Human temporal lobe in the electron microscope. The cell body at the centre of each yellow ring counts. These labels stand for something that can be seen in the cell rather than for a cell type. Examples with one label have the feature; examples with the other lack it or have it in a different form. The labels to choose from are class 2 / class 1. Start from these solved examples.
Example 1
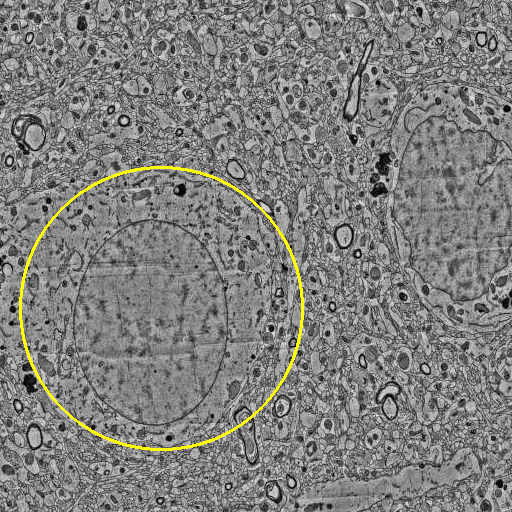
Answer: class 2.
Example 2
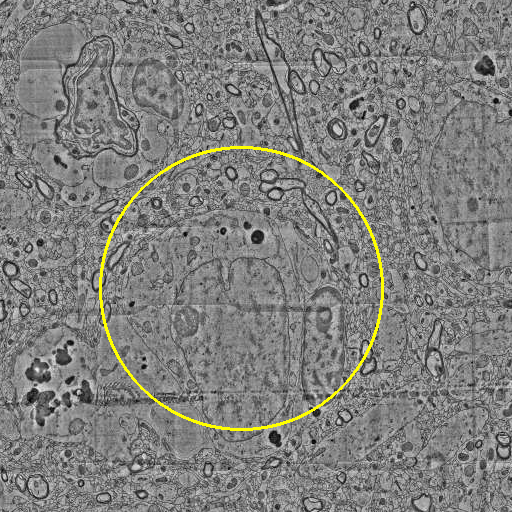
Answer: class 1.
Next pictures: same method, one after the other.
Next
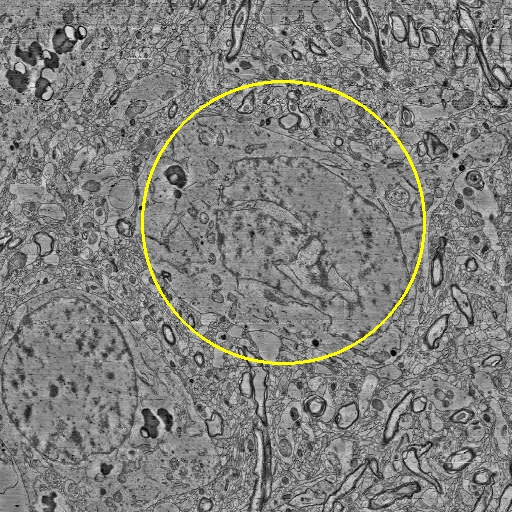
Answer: class 2.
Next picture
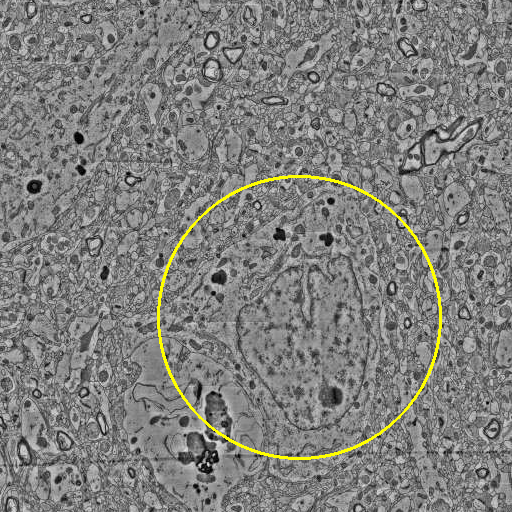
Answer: class 1.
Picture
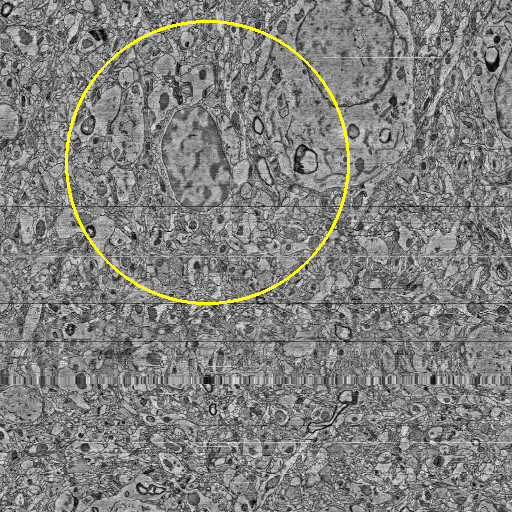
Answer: class 2.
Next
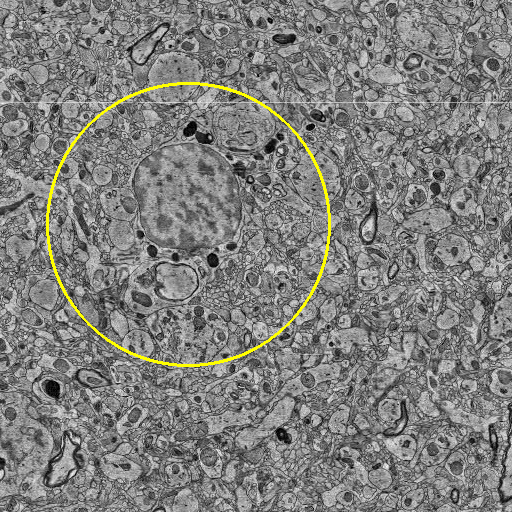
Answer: class 2.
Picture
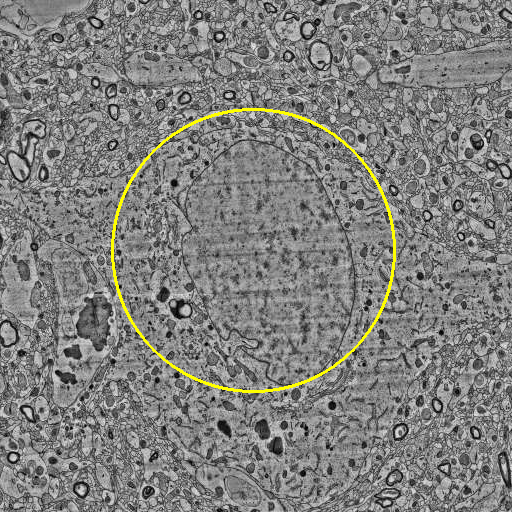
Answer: class 2.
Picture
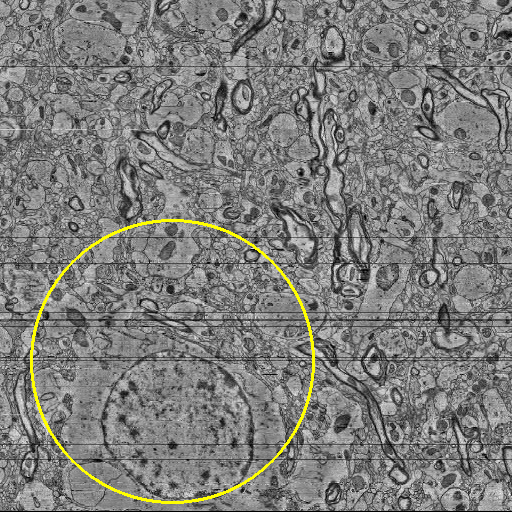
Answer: class 2.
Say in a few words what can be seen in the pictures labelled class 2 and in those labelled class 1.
In class 2: no nucleolus seen. In class 1: nucleolus seen.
